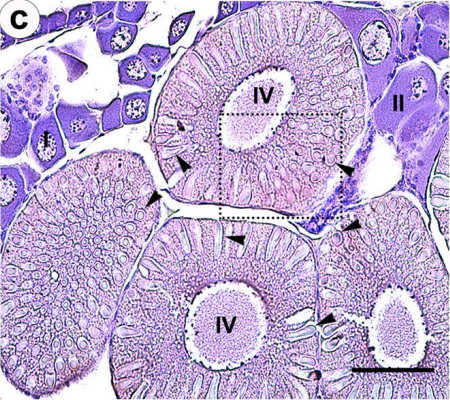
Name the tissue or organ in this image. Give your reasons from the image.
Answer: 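Ovary. Many oocytes of different sizes packed together.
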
